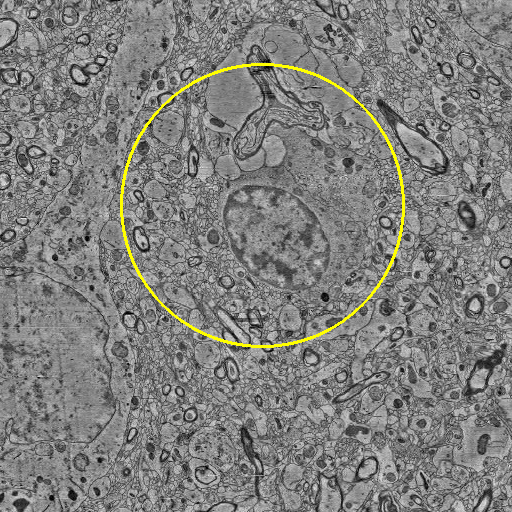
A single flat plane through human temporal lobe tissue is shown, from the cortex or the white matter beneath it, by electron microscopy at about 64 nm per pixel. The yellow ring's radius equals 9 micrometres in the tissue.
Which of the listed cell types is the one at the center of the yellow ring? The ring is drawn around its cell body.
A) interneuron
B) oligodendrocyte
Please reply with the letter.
B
